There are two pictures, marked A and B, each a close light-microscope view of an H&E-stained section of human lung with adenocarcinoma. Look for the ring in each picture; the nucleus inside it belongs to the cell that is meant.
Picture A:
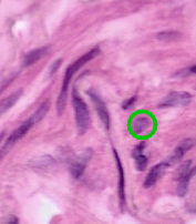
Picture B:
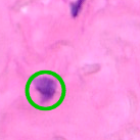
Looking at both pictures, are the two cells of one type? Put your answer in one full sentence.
No, they differ: the cell is a “smooth muscle cell or pericyte” in picture A and a fibroblast in picture B.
